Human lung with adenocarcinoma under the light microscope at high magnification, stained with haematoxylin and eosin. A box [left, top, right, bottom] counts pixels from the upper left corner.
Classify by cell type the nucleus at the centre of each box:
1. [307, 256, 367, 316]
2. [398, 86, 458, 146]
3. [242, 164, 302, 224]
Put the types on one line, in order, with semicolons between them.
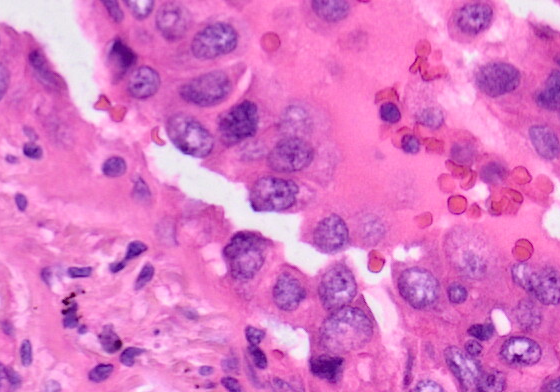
carcinoma cell; macrophage or monocyte; carcinoma cell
